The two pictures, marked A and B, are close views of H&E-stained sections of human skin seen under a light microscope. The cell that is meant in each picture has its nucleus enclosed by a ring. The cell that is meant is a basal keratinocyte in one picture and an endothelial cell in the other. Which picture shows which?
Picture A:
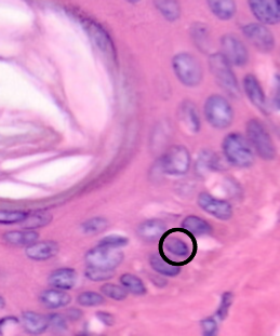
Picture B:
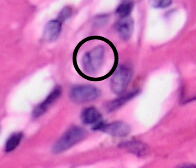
A: basal keratinocyte
B: endothelial cell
